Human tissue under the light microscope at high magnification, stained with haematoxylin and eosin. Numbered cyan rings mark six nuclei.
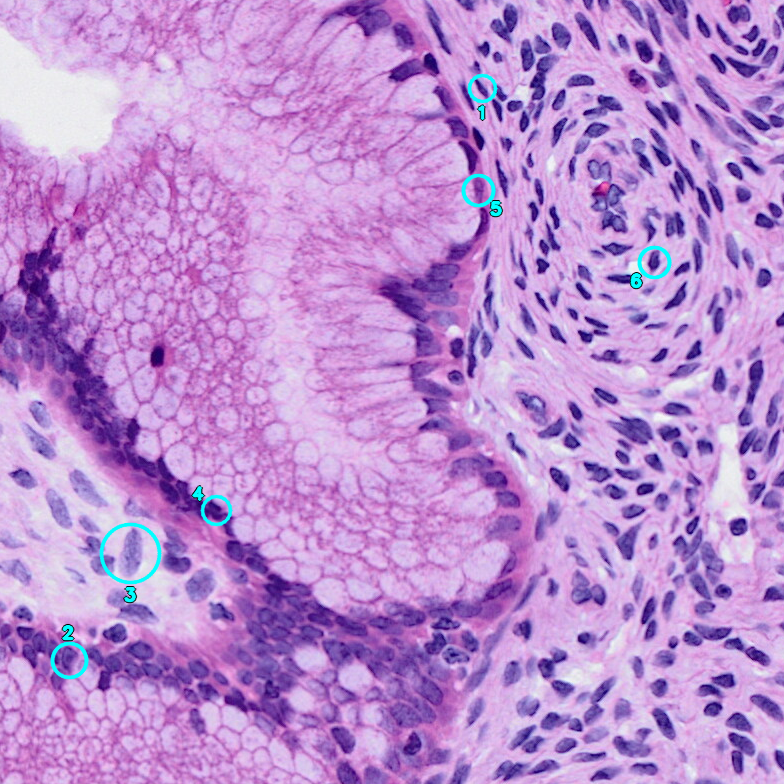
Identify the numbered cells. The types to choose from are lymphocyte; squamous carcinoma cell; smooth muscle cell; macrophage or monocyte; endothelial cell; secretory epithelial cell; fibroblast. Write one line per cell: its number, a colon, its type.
1: fibroblast
2: secretory epithelial cell
3: fibroblast
4: secretory epithelial cell
5: secretory epithelial cell
6: fibroblast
